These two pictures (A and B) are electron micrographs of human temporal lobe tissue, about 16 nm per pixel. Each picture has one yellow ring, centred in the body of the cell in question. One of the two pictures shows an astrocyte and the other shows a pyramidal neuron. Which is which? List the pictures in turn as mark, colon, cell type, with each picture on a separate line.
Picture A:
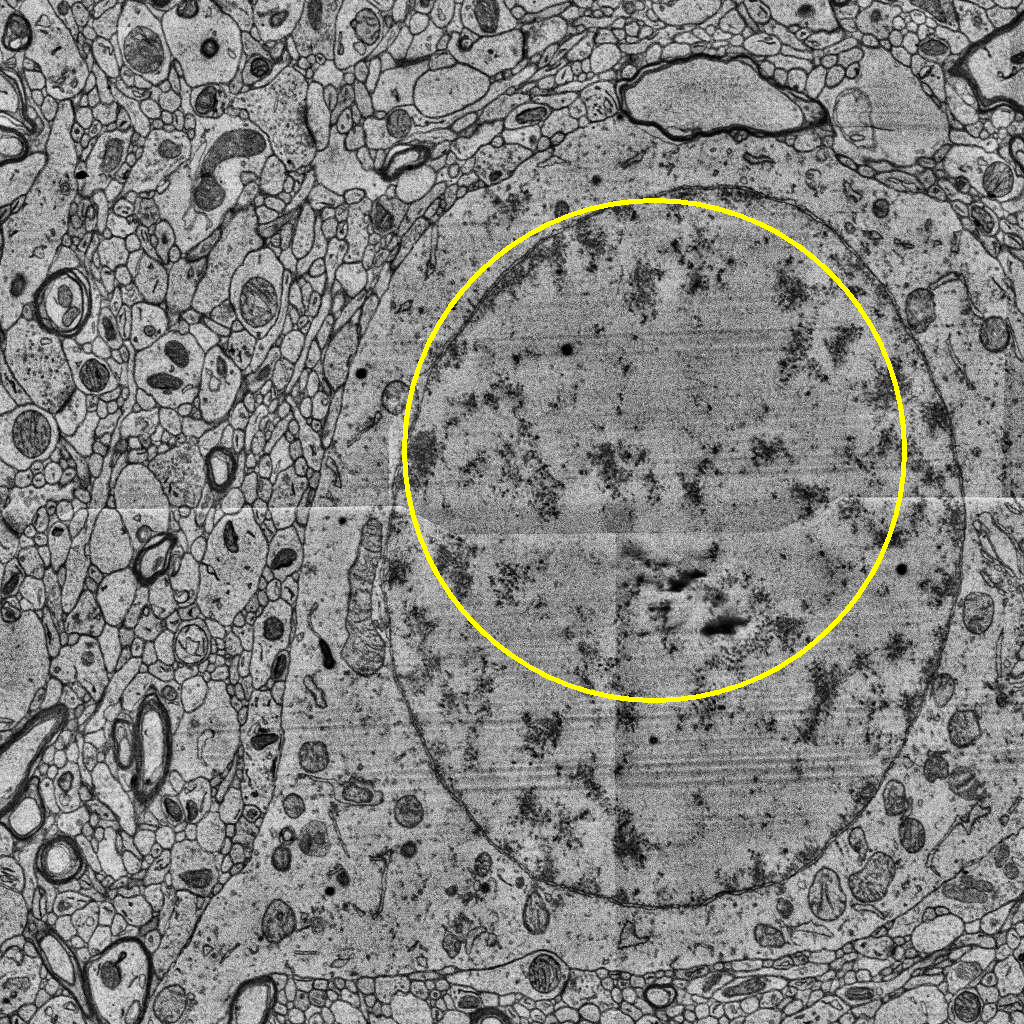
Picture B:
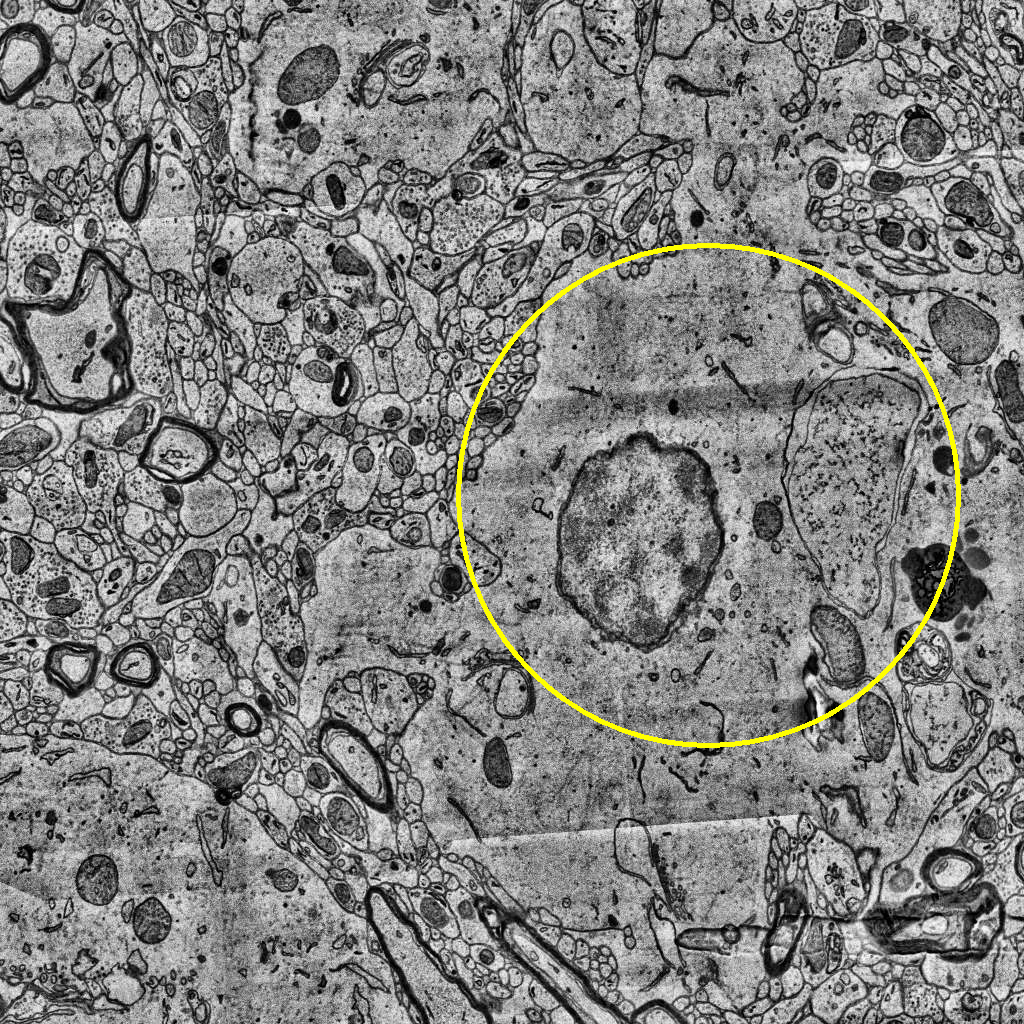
A: pyramidal neuron
B: astrocyte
